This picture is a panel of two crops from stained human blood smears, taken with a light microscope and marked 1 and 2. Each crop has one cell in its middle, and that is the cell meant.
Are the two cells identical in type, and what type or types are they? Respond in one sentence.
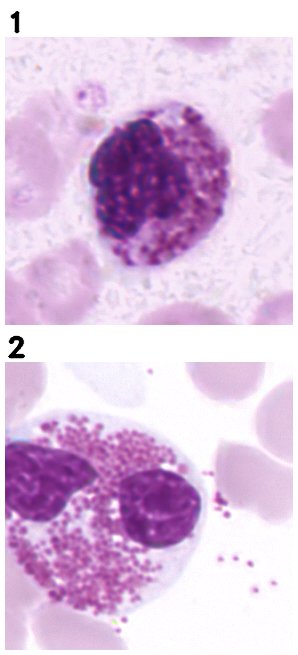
Yes, both of the crops show eosinophils.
